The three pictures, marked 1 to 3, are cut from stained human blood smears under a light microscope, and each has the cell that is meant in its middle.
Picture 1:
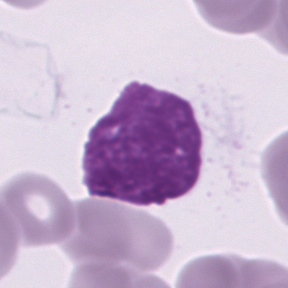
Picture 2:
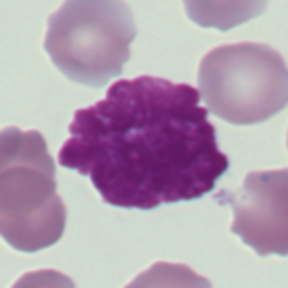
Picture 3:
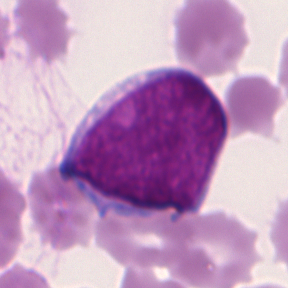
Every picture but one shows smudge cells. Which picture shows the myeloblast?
3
